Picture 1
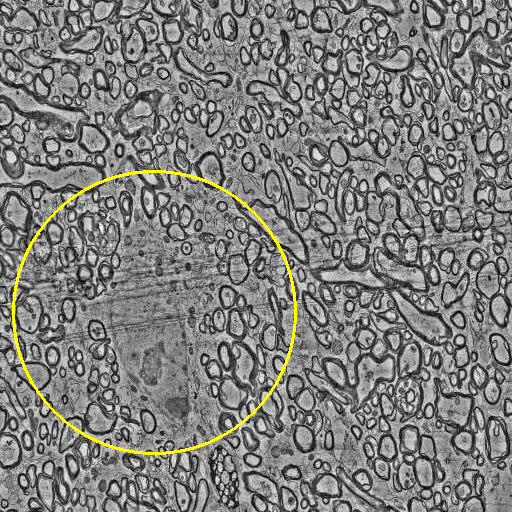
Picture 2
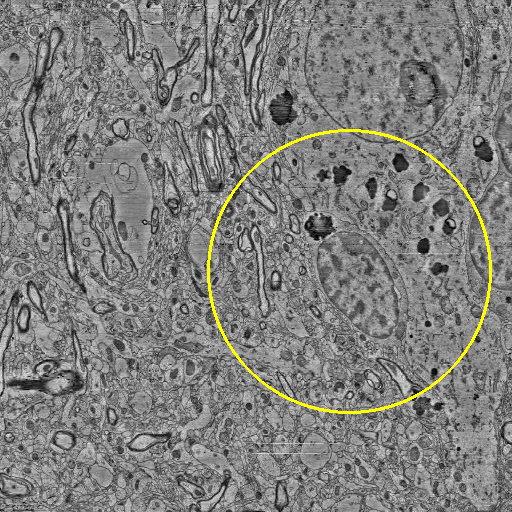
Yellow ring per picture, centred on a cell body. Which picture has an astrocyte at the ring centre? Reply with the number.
1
